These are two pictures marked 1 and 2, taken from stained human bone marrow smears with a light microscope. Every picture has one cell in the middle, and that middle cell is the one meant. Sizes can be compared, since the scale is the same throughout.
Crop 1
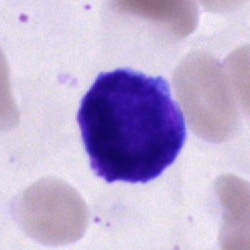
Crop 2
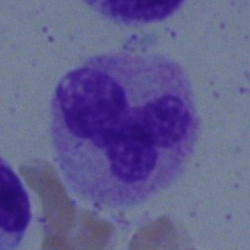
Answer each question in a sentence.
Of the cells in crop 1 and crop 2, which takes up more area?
Larger is the cell in crop 2, at roughly 1.5 times the area of the other.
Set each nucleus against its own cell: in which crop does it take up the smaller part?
In crop 2 the nucleus takes up the smaller part of its cell.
